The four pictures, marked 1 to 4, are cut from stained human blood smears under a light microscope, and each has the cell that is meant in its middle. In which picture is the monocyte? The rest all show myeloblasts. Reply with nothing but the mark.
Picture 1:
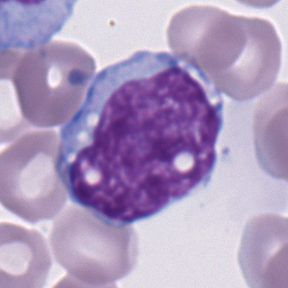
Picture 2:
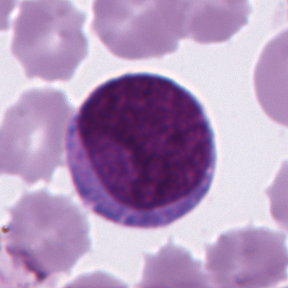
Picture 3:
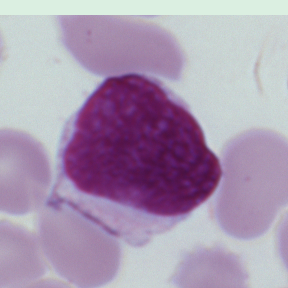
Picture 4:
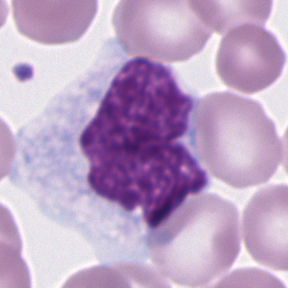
4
